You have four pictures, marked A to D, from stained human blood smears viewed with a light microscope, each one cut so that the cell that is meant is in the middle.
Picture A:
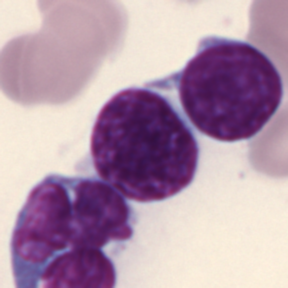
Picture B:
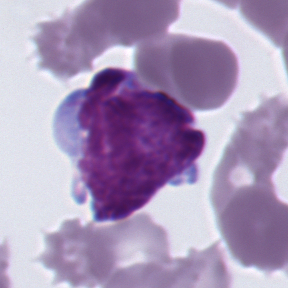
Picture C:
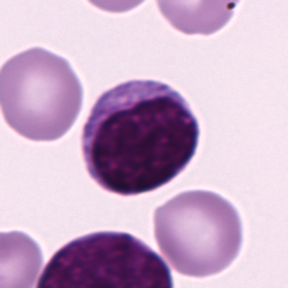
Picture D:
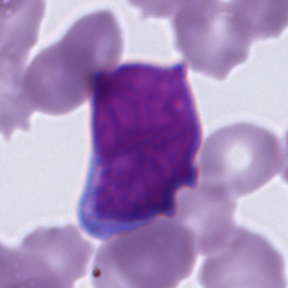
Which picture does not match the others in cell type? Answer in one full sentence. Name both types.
The others show myeloblasts, but picture C shows a typical lymphocyte.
